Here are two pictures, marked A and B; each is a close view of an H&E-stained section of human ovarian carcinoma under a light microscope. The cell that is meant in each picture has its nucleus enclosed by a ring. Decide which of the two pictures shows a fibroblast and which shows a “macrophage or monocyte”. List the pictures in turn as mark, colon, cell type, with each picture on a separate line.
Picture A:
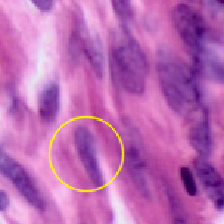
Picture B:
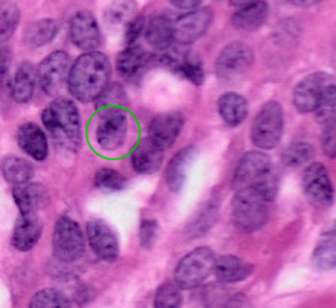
A: fibroblast
B: macrophage or monocyte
